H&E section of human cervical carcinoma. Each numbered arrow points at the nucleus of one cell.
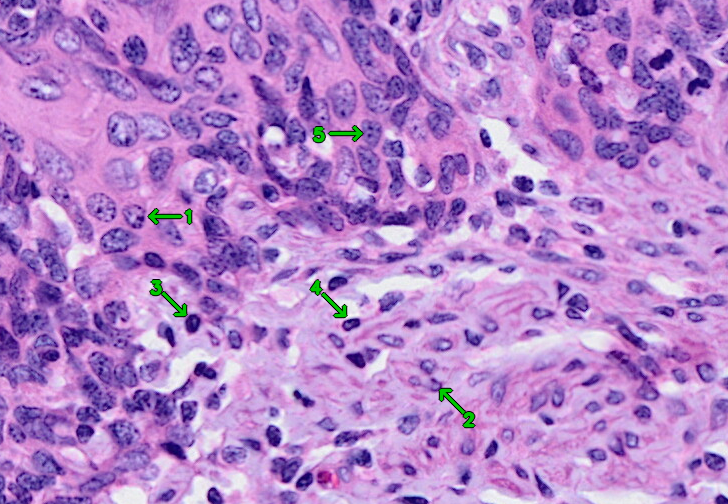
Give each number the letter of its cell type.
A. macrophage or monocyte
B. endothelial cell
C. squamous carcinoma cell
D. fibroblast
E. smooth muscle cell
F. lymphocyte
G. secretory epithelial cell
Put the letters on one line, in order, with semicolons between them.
C; E; F; F; C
